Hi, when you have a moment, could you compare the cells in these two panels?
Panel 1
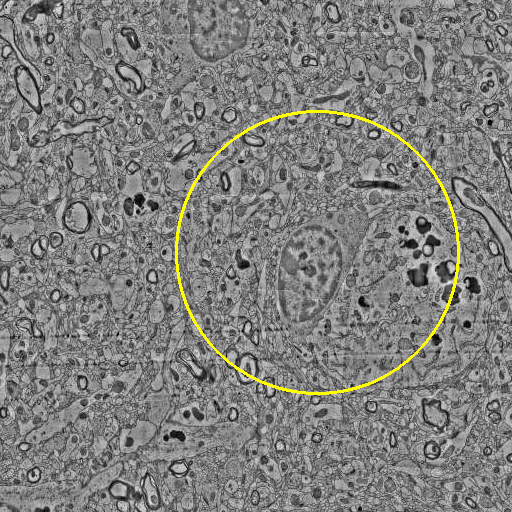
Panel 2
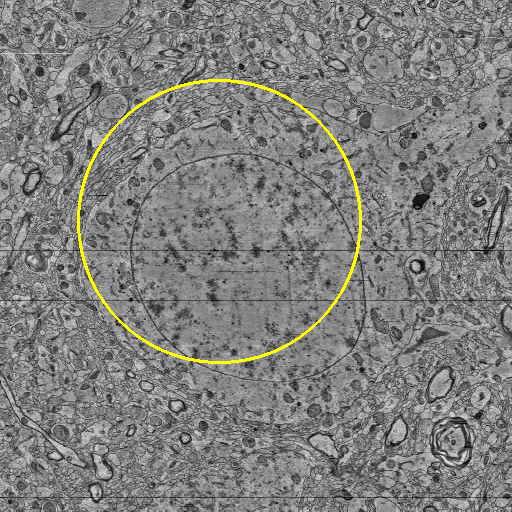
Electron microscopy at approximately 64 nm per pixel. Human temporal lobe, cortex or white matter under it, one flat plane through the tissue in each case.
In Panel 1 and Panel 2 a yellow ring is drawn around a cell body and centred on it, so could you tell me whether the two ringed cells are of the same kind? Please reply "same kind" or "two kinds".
two kinds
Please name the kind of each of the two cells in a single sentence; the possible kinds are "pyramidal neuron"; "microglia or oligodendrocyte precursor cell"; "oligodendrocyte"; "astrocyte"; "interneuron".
In the first picture the ring is centred on an oligodendrocyte, and in the second on a pyramidal neuron.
